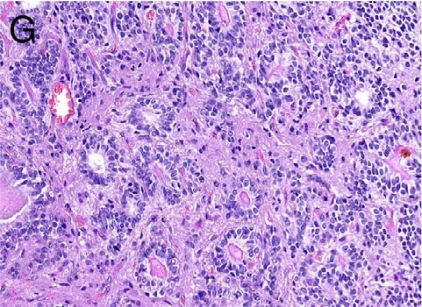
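A cellular tumour with dark, crowded nuclei is seen, in which several small round empty spaces are present. Around each space, tumour cells line up in a ring, their nuclei set back from the lumen. A few vessels with pink walls are also present among the cells. These rings of cells around a central lumen are true ependymal rosettes.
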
